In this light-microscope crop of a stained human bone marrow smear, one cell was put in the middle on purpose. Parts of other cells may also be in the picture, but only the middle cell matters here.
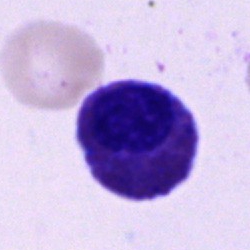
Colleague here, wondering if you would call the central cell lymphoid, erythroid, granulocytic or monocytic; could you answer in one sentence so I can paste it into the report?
The lineage of the central cell is the granulocytic lineage.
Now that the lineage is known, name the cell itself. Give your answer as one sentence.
By classification, the middle cell of this crop is an eosinophil.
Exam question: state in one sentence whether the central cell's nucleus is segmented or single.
See how the nucleus sits as one compact round, oval or kidney-shaped mass.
